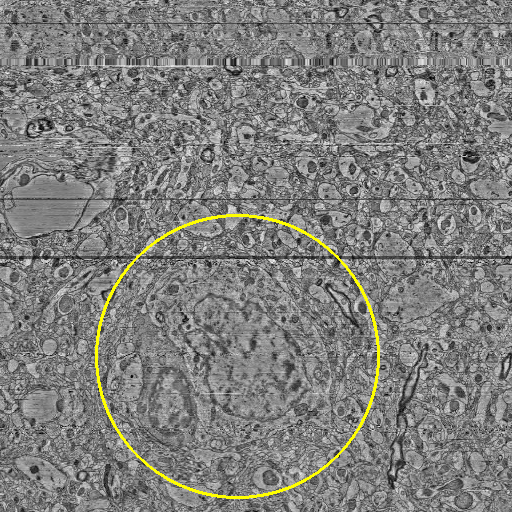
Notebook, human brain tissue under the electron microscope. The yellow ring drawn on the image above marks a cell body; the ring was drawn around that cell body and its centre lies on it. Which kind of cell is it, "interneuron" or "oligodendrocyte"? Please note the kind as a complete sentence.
The marked cell body is that of an interneuron.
